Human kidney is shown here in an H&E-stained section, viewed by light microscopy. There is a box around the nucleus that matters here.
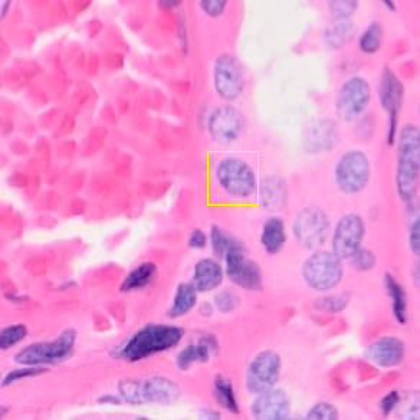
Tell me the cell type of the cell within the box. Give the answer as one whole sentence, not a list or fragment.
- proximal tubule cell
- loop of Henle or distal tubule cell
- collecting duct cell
At the level of cell identity, the cell within the box is a collecting duct cell.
